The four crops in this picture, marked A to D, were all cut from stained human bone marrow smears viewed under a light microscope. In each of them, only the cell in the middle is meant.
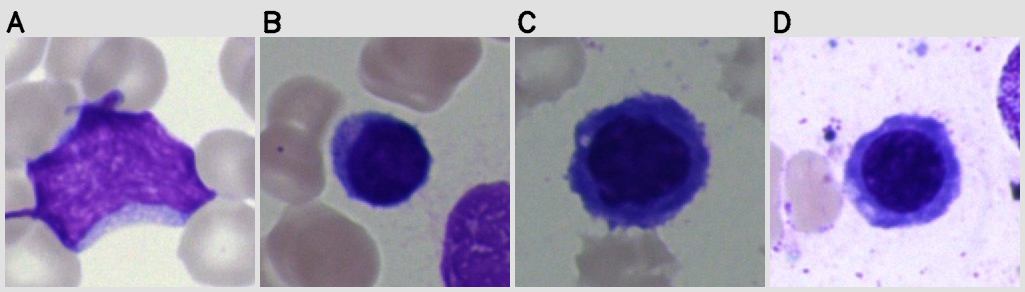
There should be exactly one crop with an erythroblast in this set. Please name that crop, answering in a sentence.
Crop D is the crop featuring an erythroblast at its center.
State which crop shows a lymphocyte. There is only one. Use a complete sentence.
Crop B is the crop in which a lymphocyte is shown.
